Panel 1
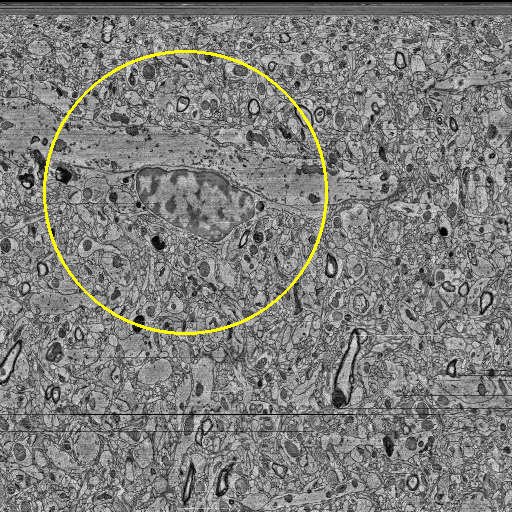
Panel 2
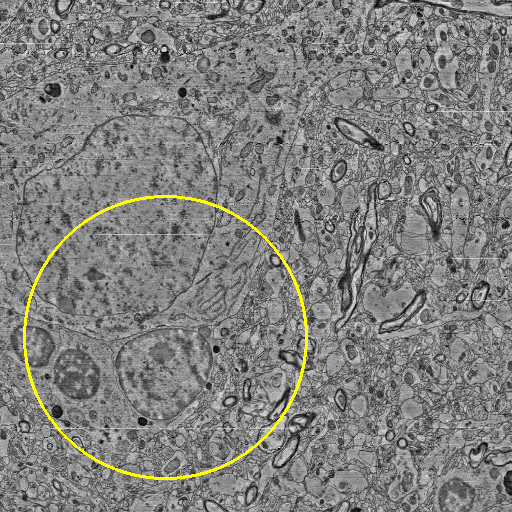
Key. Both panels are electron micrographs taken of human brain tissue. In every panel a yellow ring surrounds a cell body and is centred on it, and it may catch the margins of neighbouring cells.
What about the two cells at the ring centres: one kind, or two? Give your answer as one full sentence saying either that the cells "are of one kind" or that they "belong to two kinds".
Across Panels 1 and 2, the two cells at the ring centres belong to two kinds.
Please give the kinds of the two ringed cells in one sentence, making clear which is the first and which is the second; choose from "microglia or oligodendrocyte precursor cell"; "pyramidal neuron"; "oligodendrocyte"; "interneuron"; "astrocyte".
In the second picture the ringed cell is an oligodendrocyte; in the first it is a microglial cell or oligodendrocyte precursor cell.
